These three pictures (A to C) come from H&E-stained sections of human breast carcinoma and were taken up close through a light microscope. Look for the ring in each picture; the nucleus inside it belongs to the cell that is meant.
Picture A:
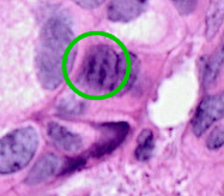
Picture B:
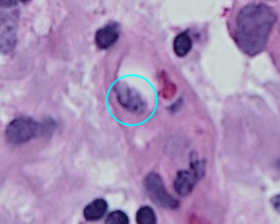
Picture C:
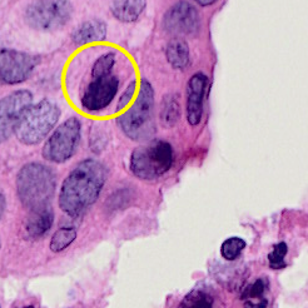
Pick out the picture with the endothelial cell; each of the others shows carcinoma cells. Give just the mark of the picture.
B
